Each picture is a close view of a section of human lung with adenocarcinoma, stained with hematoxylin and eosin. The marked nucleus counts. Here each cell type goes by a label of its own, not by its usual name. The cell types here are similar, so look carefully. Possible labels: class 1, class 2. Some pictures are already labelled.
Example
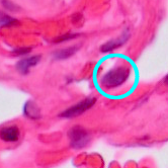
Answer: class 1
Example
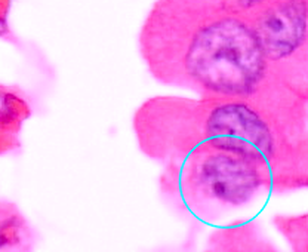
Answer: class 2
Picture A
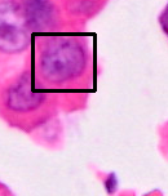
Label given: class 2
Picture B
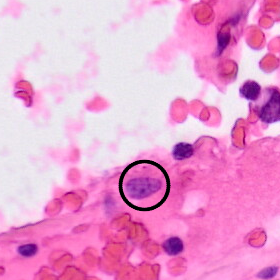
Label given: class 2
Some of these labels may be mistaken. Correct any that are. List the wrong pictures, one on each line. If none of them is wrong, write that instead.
B: class 1, not class 2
